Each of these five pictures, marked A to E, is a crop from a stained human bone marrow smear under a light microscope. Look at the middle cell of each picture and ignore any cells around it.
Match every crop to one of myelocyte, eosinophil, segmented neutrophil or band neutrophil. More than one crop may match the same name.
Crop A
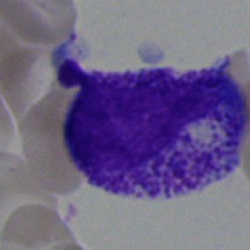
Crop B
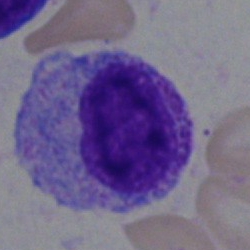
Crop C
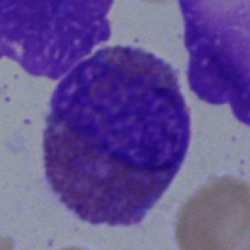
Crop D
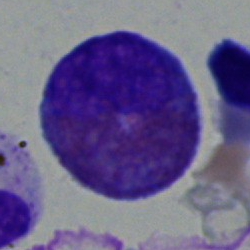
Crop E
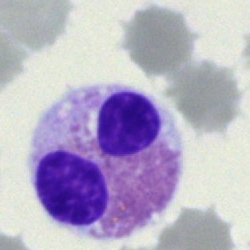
A: myelocyte
B: myelocyte
C: eosinophil
D: eosinophil
E: eosinophil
